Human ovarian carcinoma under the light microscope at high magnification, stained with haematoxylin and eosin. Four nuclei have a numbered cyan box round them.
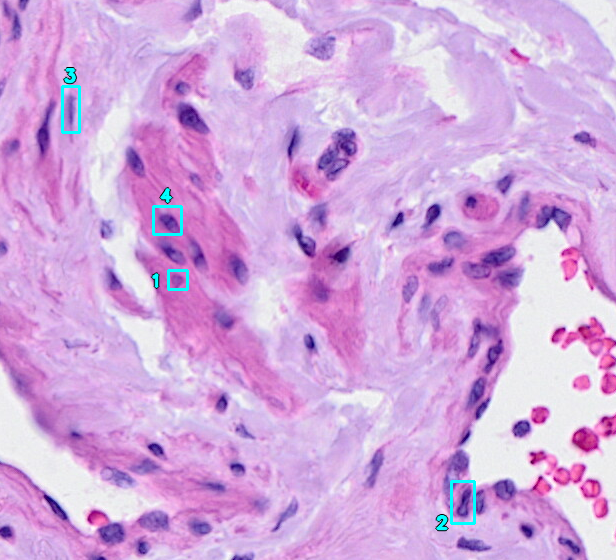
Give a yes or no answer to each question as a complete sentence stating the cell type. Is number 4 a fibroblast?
No, instead of a fibroblast, the cell with number 4 is a smooth muscle cell.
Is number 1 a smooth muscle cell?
Yes, the cell identified by number 1 is a smooth muscle cell.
